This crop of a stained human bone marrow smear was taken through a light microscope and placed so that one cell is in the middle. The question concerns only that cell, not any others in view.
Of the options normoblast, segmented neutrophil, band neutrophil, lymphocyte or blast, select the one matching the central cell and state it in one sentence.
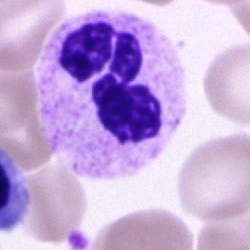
The middle of this crop holds a segmented neutrophil.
